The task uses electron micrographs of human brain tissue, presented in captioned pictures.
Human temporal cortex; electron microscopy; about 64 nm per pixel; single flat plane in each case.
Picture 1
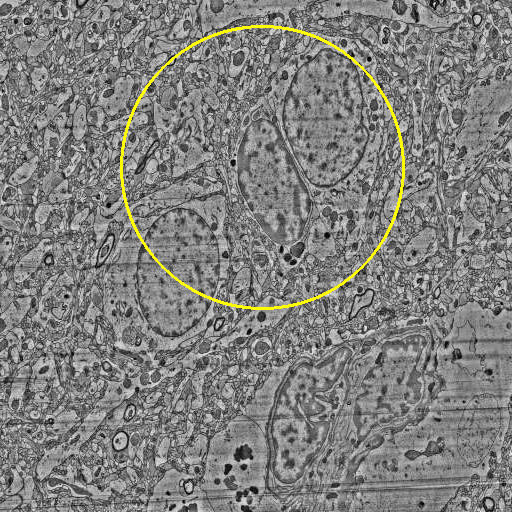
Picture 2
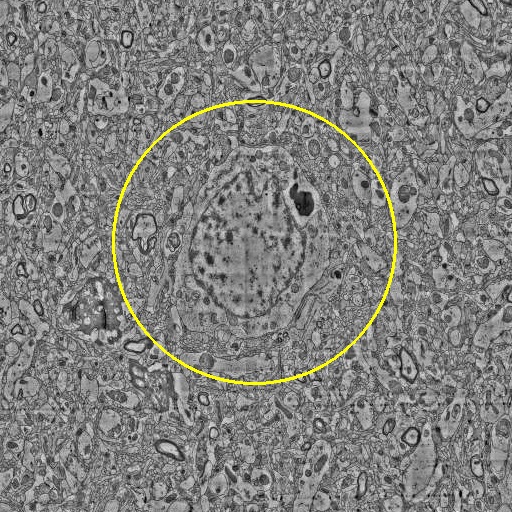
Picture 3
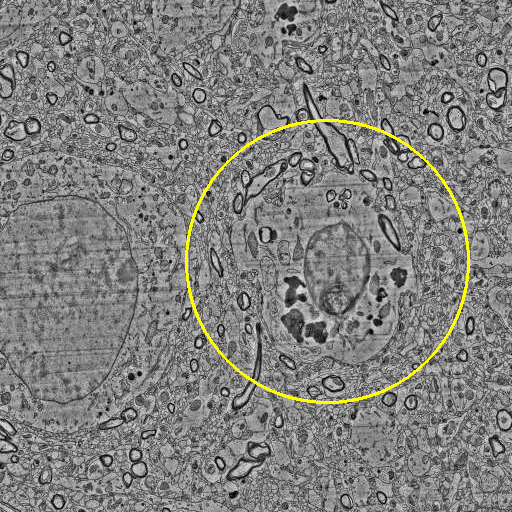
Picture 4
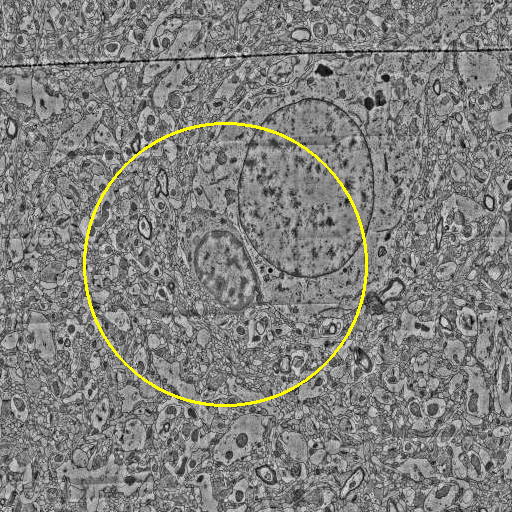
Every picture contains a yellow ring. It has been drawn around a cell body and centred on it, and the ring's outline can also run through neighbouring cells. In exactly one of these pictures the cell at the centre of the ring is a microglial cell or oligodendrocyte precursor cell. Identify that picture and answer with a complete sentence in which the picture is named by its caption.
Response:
The ring in Picture 1 is centred on that kind of cell.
